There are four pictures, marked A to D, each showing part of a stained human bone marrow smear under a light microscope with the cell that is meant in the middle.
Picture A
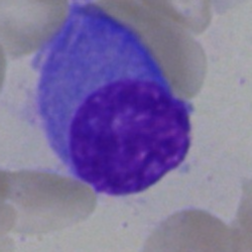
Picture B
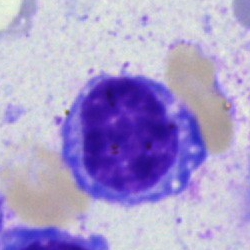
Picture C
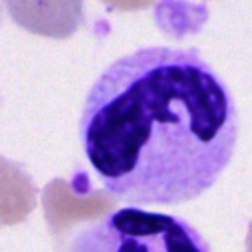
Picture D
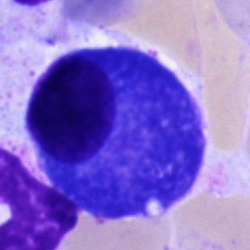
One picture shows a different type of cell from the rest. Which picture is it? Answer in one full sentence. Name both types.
The others show plasma cells, but picture C shows a band neutrophil.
